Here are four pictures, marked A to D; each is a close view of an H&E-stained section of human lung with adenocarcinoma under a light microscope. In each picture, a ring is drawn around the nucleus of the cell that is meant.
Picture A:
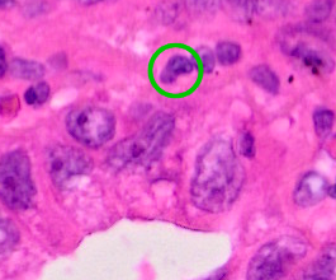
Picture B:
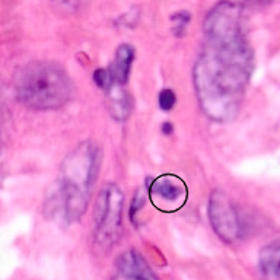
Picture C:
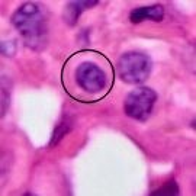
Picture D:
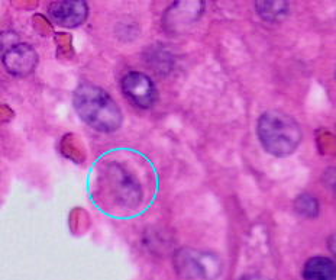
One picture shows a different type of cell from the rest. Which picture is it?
D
